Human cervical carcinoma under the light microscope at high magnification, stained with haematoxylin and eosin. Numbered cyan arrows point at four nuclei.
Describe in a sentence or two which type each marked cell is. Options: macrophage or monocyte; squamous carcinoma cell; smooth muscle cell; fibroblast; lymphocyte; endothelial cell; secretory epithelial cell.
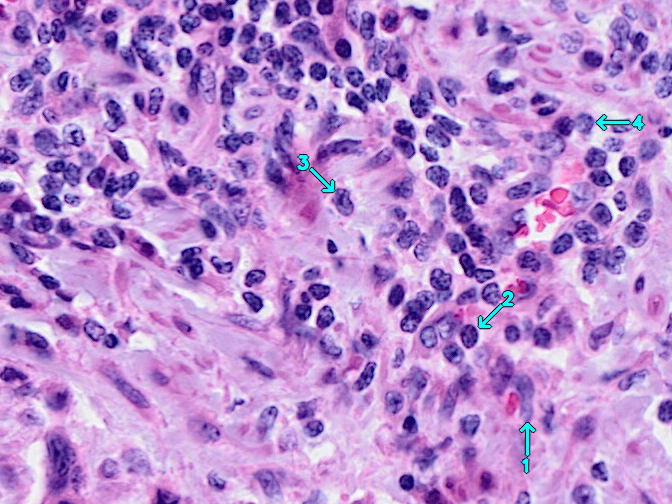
Cell 1 is an endothelial cell, cell 2 is a lymphocyte, cell 3 is a lymphocyte and cell 4 is a lymphocyte.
